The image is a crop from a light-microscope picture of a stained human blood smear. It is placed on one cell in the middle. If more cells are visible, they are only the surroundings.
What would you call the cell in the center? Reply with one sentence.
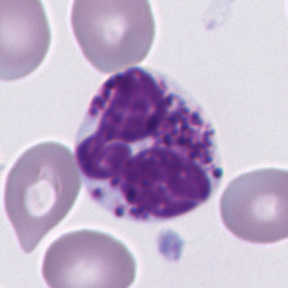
The central element of this crop is a cell, namely a basophil.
